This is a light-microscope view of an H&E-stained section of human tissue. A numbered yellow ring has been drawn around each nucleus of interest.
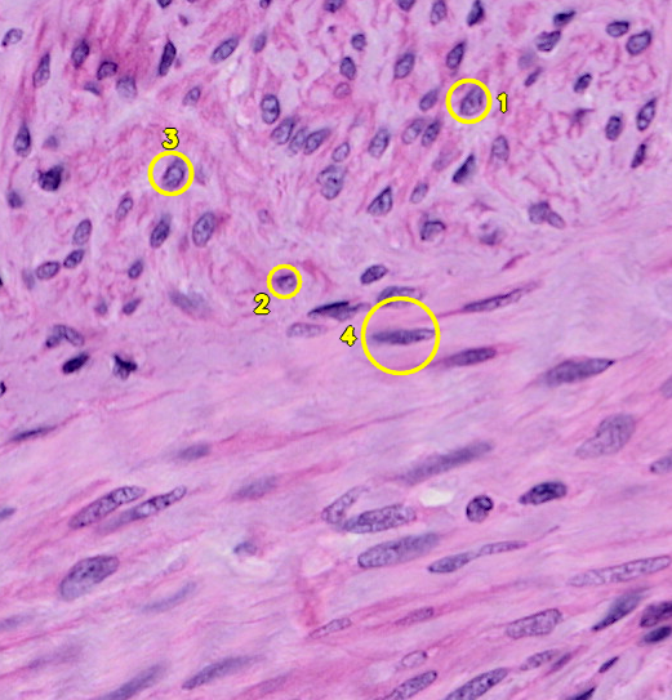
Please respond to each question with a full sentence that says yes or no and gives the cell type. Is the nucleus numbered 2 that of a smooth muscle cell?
Yes, exactly, the cell numbered 2 is a smooth muscle cell.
